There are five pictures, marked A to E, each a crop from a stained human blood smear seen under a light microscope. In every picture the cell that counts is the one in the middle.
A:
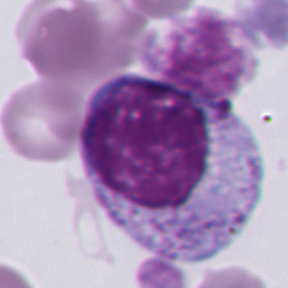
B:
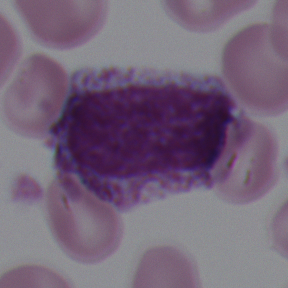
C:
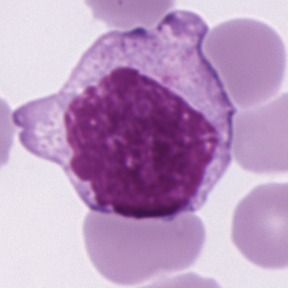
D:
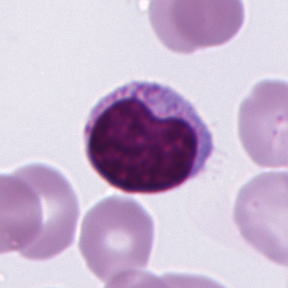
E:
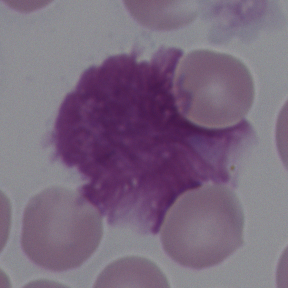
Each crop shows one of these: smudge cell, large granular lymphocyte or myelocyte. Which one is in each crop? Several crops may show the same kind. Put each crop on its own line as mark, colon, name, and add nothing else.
A: myelocyte
B: myelocyte
C: myelocyte
D: large granular lymphocyte
E: smudge cell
